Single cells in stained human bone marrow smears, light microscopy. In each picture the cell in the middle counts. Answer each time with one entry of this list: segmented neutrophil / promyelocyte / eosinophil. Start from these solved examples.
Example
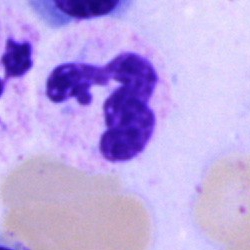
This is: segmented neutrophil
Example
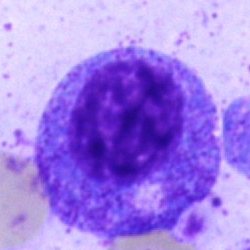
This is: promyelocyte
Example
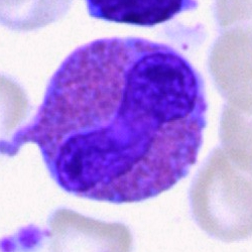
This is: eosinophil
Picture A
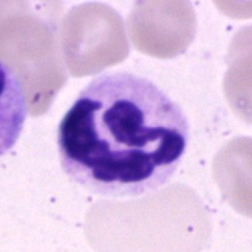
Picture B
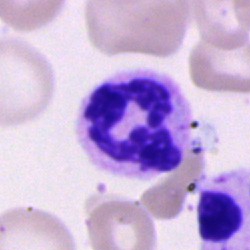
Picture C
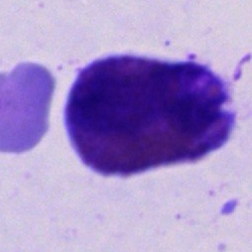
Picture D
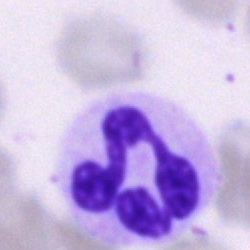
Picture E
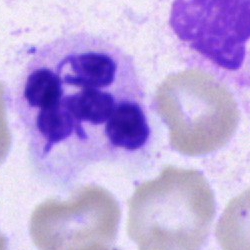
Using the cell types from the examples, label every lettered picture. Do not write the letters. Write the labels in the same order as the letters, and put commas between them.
segmented neutrophil, segmented neutrophil, eosinophil, segmented neutrophil, segmented neutrophil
